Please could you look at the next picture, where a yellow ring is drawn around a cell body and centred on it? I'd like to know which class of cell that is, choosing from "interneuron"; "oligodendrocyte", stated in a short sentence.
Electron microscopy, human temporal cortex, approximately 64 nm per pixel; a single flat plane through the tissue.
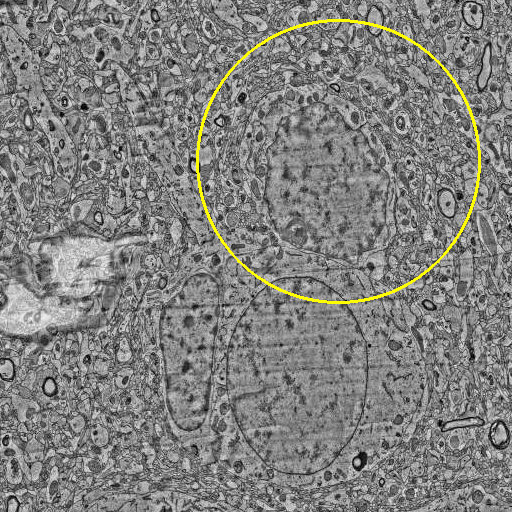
The ring's centre lies on an interneuron.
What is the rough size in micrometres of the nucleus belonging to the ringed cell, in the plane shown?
About 10 by 8 micrometers, in this plane.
